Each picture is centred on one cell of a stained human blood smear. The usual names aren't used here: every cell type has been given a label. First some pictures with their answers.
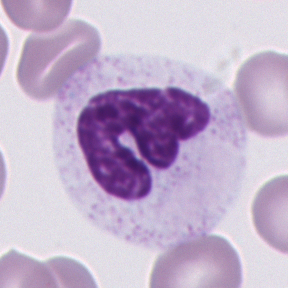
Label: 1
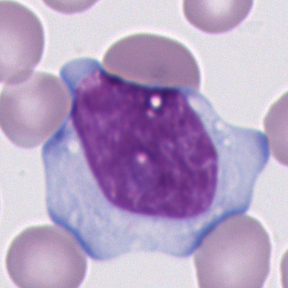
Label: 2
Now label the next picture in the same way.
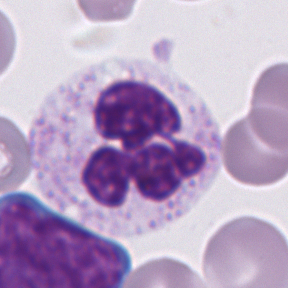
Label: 1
